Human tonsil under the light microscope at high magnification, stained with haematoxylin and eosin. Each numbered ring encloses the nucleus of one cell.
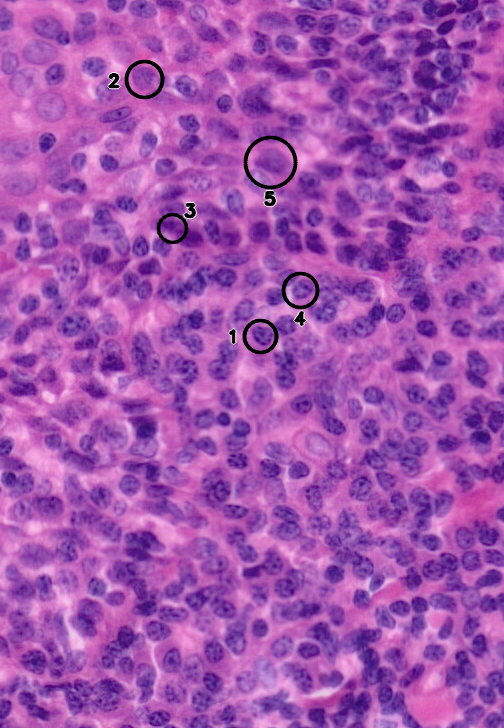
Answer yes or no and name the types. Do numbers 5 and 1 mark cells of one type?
No, that's wrong; cell 5 is a squamous epithelial cell and cell 1 is a plasma cell.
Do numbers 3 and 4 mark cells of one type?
No, that is not right: cell 3 is a squamous epithelial cell and cell 4 is a plasma cell.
